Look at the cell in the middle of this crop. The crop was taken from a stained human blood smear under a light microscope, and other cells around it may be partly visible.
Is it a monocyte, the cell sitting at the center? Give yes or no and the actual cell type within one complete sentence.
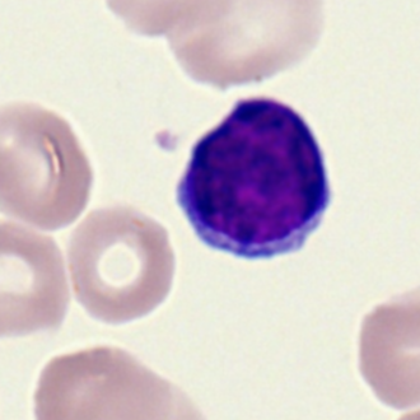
No, the cell in the middle is recognised as a lymphocyte rather than a monocyte.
